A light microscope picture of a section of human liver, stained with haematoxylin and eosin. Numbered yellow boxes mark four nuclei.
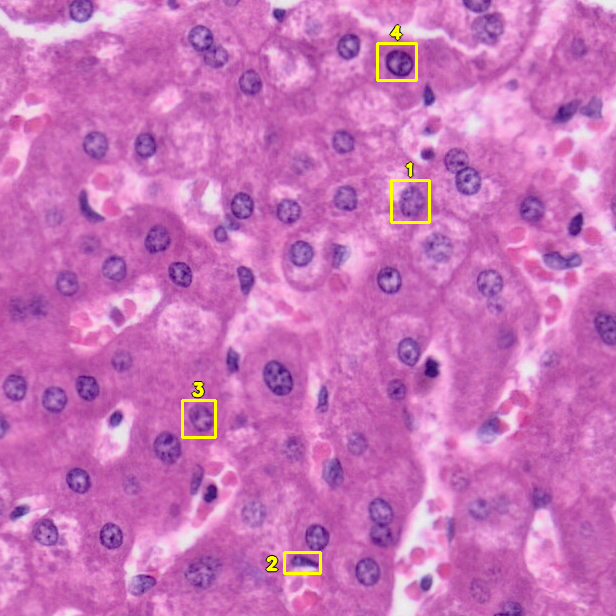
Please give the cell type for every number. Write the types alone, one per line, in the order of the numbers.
hepatocyte
fibroblast or stellate cell
hepatocyte
hepatocyte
